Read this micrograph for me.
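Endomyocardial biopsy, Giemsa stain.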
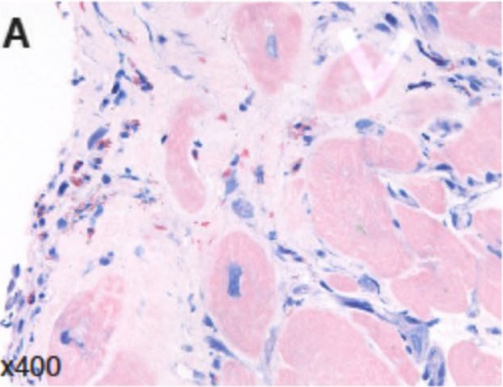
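The muscle fibres appear as large rounded to polygonal pink profiles, several with a single blue, centrally placed nucleus. Between the fibres lies loose pale connective tissue containing many small blue nuclei that are elongated or irregular. Toward the left edge the interstitial cells are more crowded, and some of them have bright red-pink granular cytoplasm. These granulated cells sit among the stromal cells rather than within the muscle fibres.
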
